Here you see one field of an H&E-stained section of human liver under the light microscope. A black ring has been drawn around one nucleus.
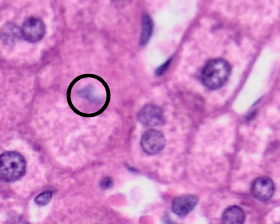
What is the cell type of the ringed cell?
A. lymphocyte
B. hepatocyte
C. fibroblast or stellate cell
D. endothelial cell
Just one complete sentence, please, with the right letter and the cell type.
In short, option D: the ringed cell is an endothelial cell.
